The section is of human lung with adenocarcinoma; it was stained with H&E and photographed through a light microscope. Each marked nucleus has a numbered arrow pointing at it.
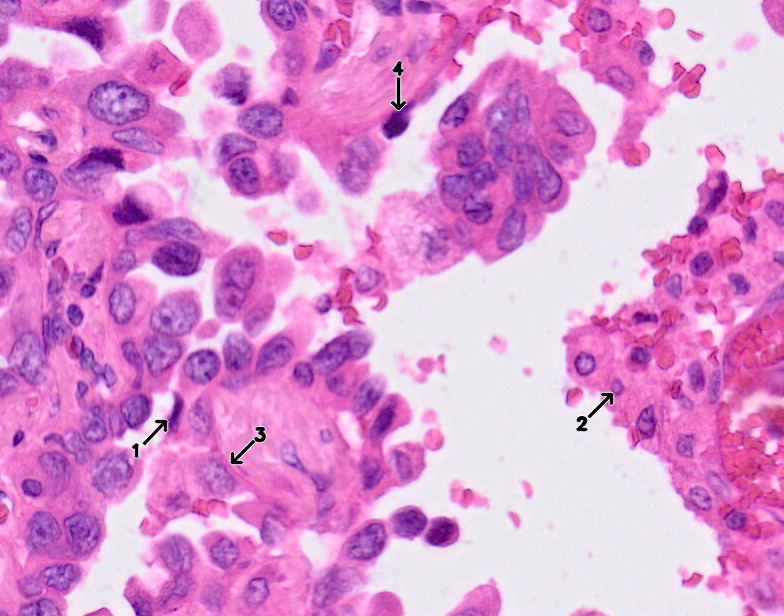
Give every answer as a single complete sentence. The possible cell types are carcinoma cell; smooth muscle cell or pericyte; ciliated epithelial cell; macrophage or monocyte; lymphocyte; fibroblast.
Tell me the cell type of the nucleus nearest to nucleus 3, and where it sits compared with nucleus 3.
It is a macrophage or monocyte, whose nucleus lies below and to the left of nucleus 3.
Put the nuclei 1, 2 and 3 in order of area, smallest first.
From smallest to largest, the order is 2, 1, 3.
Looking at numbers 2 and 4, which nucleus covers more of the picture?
Of the two, number 4 is bigger and takes up about 4 times the area of number 2.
